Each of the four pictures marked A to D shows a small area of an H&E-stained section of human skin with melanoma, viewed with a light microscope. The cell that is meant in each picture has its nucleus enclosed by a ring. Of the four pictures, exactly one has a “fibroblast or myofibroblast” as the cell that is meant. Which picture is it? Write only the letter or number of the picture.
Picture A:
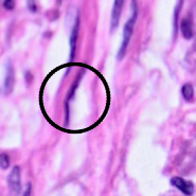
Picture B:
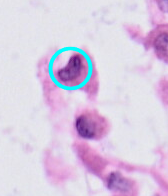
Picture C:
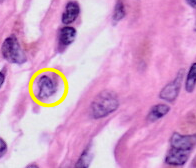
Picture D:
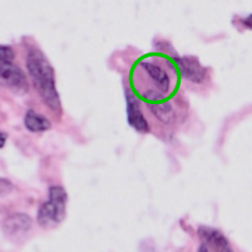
A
